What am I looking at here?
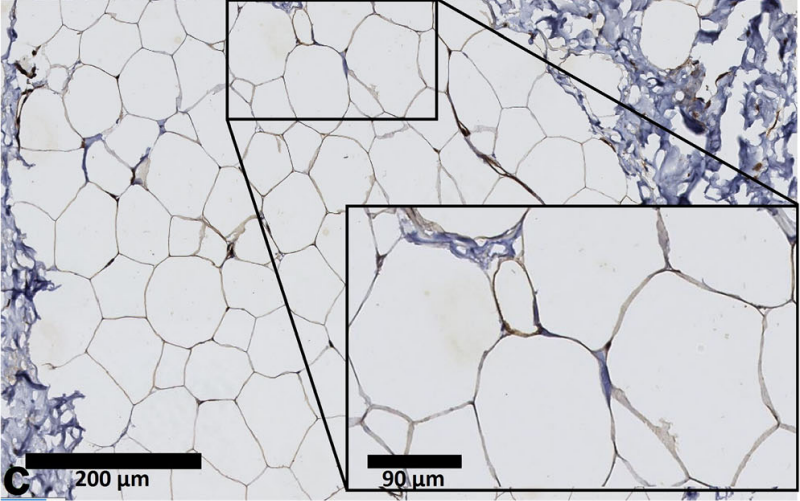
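This is adipose tissue with large, clear, polygonal adipocytes packed together like a honeycomb. Blue-stained loose connective tissue lies at the upper right and left margins, with little brown in it.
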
